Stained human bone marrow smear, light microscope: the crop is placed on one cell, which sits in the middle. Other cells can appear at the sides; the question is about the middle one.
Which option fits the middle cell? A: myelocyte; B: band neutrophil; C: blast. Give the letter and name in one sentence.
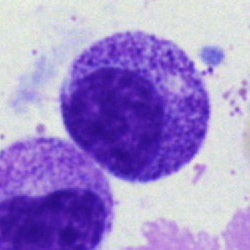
The correct option here is A; the middle cell is a myelocyte.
